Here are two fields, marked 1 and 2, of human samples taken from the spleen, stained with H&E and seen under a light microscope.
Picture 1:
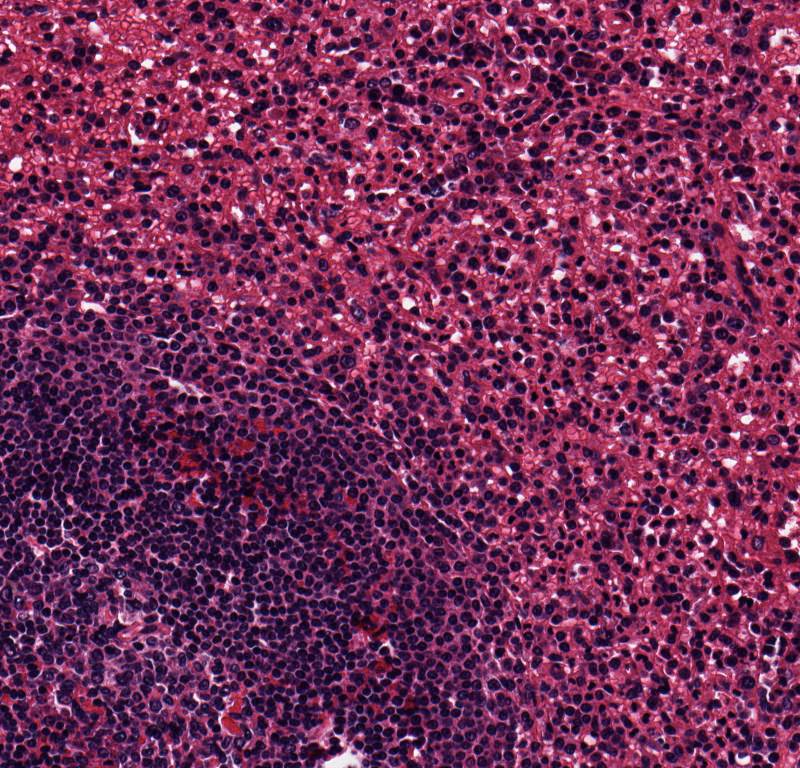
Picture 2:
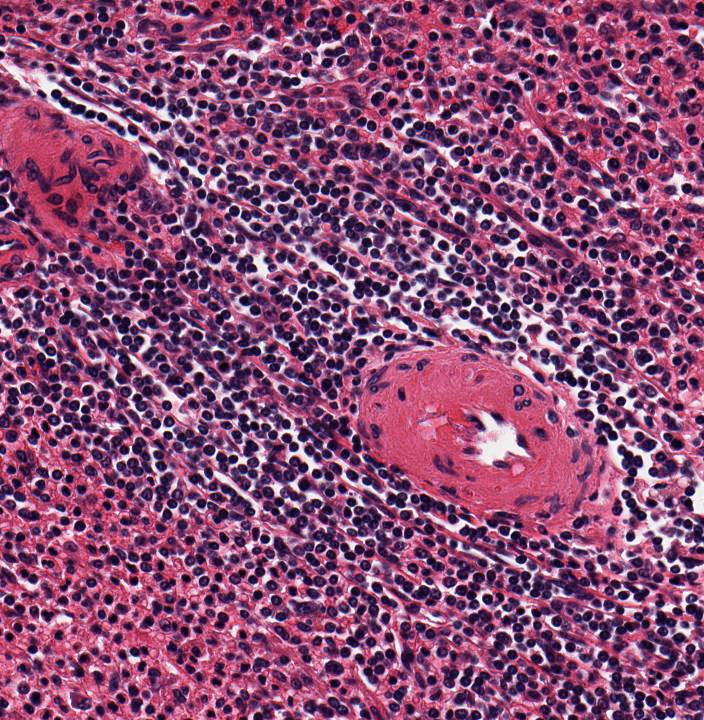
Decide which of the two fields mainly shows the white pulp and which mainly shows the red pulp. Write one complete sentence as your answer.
Picture 1 mainly shows the red pulp; picture 2 mainly shows the white pulp.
